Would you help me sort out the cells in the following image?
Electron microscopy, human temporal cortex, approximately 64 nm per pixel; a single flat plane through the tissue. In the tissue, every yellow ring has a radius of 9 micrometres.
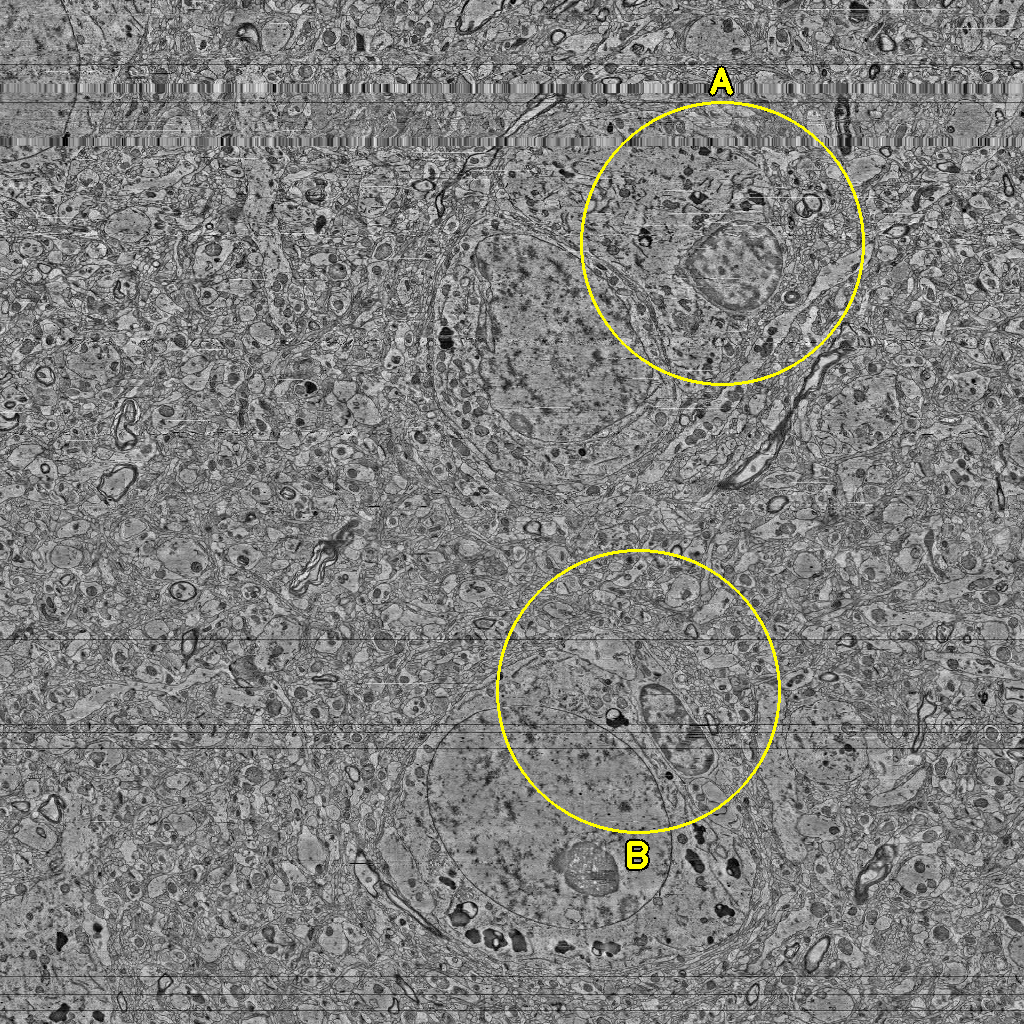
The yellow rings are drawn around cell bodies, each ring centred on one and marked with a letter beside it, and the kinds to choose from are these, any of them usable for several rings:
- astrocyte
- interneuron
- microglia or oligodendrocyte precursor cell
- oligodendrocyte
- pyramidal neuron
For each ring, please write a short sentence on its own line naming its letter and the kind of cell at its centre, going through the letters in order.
Ring A is centred on the cell body of an oligodendrocyte.
Ring B is centred on the cell body of a microglial cell or oligodendrocyte precursor cell.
